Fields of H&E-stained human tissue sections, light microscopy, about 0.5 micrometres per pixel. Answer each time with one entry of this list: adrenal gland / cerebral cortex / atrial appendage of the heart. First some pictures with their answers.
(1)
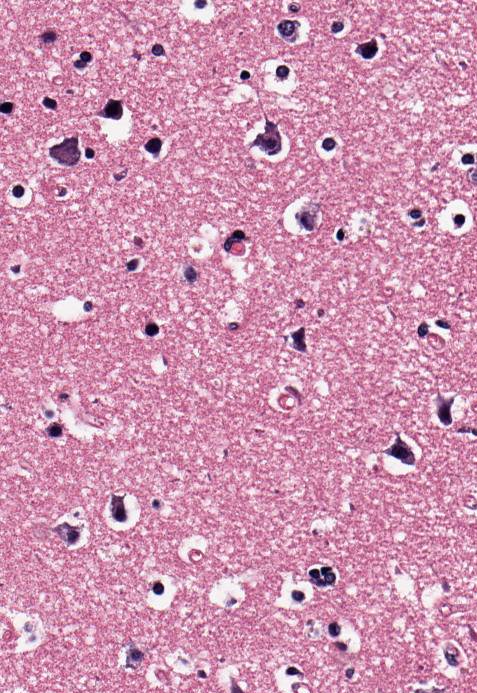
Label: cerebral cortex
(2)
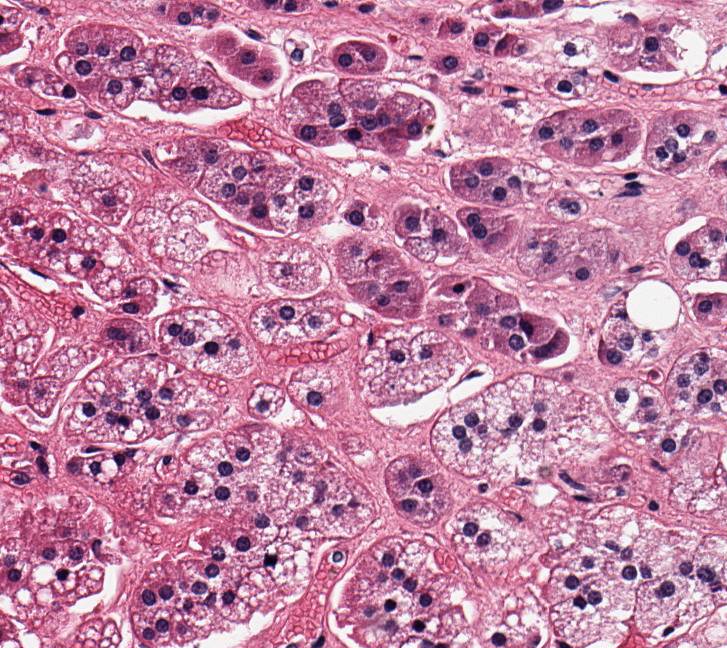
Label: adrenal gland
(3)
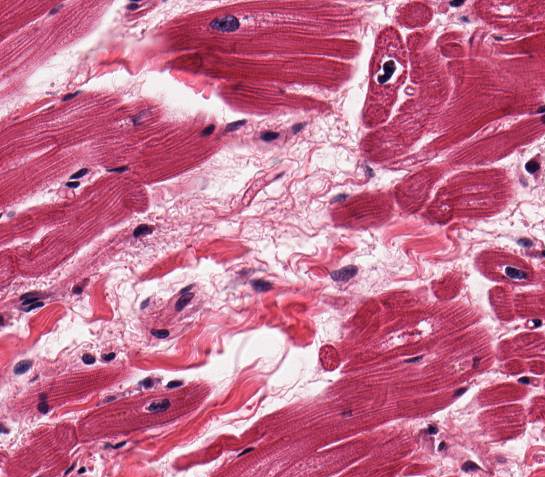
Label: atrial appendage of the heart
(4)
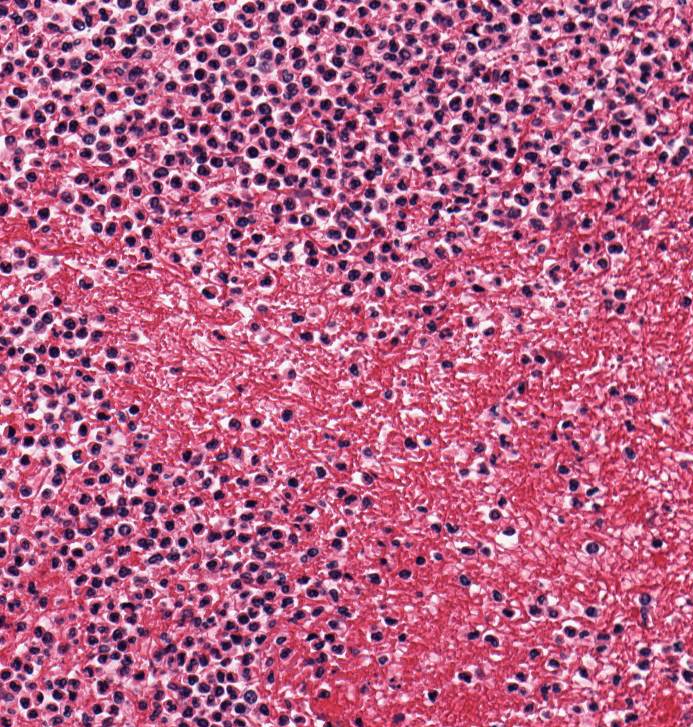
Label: atrial appendage of the heart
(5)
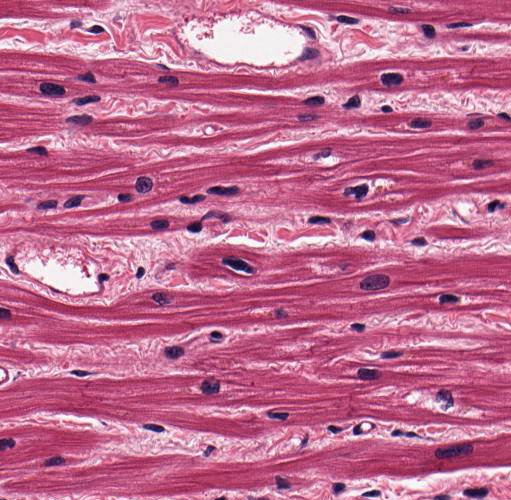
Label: atrial appendage of the heart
